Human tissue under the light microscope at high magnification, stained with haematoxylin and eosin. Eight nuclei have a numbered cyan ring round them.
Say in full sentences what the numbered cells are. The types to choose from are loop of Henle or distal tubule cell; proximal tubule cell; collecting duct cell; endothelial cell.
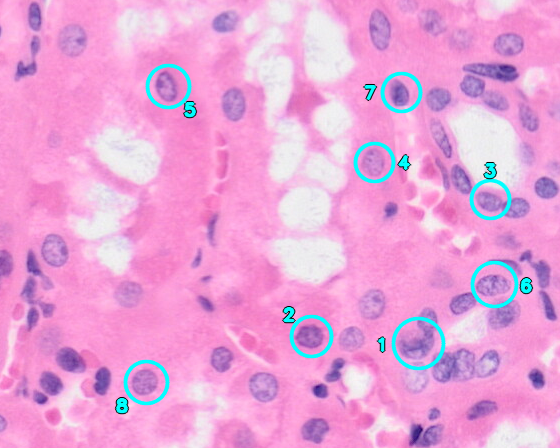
Cells 1, 3 and 6 are collecting duct cells. Cells 2, 4, 5 and 8 are proximal tubule cells. Cell 7 is an endothelial cell.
